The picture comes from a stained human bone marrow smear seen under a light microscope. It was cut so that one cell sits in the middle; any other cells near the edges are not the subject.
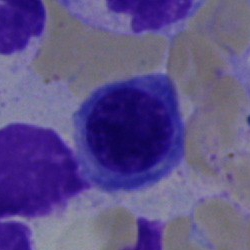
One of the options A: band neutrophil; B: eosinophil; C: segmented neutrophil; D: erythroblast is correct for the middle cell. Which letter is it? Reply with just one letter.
D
